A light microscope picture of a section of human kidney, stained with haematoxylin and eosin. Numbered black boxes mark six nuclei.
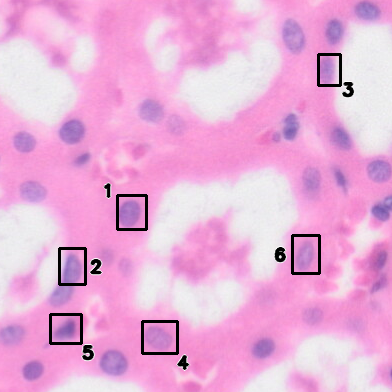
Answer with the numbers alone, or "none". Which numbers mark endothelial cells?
5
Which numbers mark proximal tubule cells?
1, 4, 6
